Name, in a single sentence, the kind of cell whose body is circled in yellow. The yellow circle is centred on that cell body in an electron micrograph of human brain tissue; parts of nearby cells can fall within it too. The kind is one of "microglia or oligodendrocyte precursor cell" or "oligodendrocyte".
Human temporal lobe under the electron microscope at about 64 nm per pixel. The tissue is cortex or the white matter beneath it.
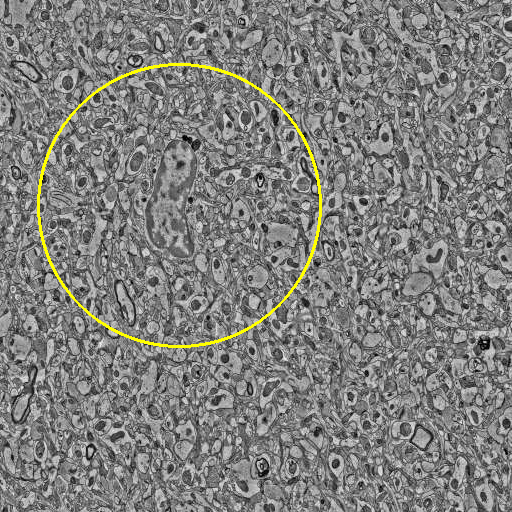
The circled cell body belongs to a microglial cell or oligodendrocyte precursor cell.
